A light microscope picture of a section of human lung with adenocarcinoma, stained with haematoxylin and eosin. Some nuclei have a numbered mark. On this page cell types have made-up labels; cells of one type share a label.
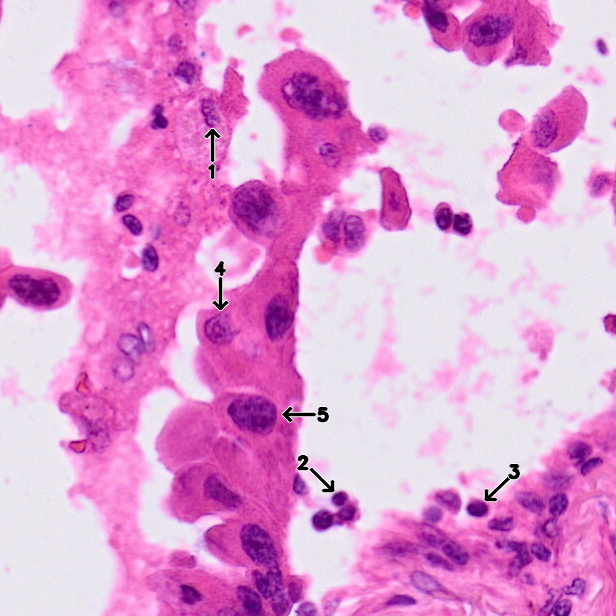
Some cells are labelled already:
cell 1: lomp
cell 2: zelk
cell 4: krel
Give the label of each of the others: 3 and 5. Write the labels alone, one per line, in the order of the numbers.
zelk
krel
